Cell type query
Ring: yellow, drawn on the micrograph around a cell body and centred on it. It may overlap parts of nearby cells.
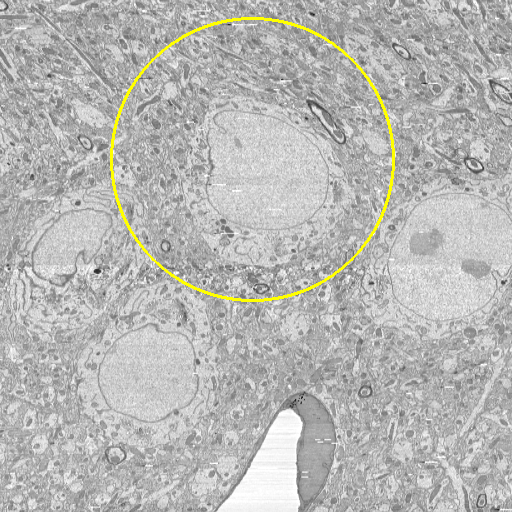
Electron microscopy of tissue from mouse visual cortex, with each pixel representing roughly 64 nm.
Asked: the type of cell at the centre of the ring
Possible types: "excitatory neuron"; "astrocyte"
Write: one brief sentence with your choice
The ring marks an excitatory neuron.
